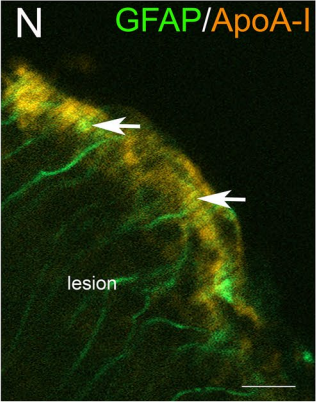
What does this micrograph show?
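A broad, bright orange-yellow band runs diagonally along the surface, and small green cell bodies lie within it. Thin green processes leave this band and extend in roughly parallel lines into the underlying tissue. Where green and orange overlap, the cells appear yellow. Below the band the tissue is dark apart from the green fibres.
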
